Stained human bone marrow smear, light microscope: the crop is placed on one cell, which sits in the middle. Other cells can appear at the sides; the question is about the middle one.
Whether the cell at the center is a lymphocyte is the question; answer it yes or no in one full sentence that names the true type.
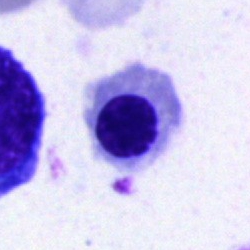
No, in the middle of the crop there is an erythroblast rather than a lymphocyte.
